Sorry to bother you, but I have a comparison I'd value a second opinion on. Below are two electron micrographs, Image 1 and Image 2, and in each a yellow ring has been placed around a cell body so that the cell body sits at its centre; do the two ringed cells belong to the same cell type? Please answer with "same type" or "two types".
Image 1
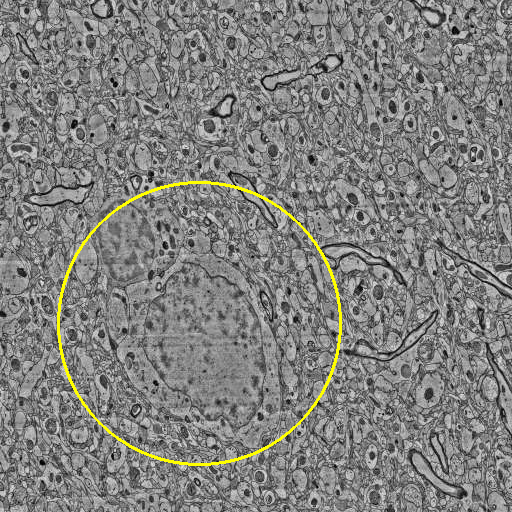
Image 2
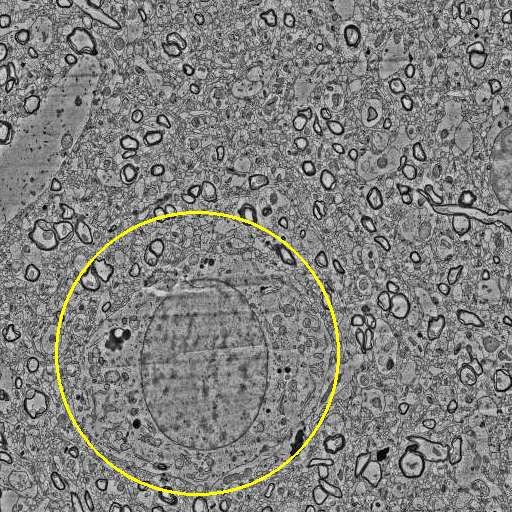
same type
